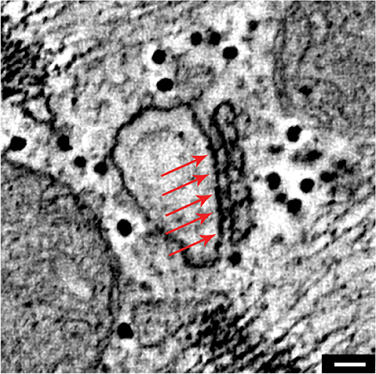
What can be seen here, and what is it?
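A row of regularly spaced electron-dense bridges spans the narrow cleft between the two membranes. Scattered very dark round granules lie in the surrounding cytoplasm, and parts of mitochondria and myofibrils are seen at the edges.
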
